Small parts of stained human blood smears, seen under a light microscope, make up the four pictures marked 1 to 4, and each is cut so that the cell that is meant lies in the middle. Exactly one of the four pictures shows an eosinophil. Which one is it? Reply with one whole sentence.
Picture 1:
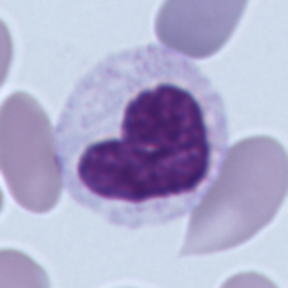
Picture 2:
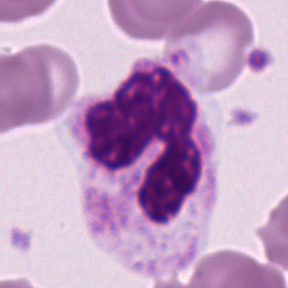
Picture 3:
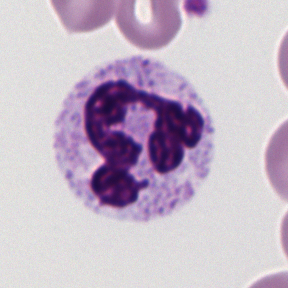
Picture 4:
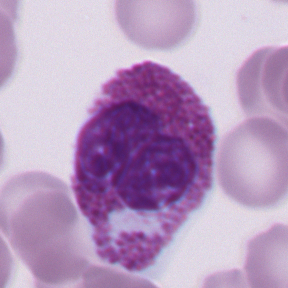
The cell in picture 4 is the eosinophil.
